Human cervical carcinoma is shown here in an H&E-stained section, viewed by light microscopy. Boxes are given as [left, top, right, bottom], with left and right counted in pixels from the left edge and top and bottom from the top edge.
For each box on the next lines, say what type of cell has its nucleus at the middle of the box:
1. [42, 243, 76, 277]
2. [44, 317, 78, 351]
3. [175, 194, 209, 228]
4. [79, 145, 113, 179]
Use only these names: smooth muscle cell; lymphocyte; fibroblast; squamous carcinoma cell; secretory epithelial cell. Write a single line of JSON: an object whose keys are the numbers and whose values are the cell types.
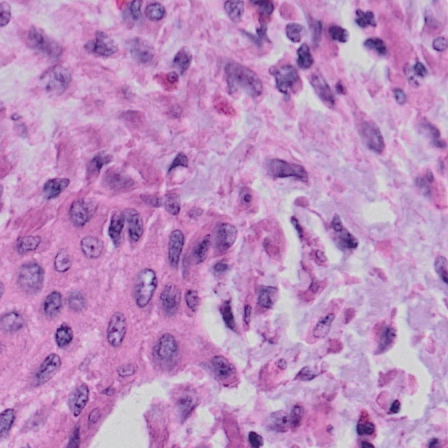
{"1": "squamous carcinoma cell", "2": "squamous carcinoma cell", "3": "fibroblast", "4": "fibroblast"}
